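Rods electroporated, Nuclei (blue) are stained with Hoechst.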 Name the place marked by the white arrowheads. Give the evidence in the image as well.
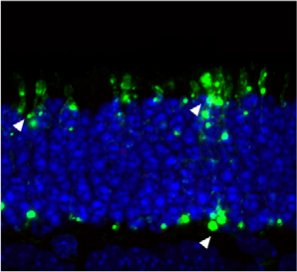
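One arrowhead points to green dots just above the band of blue nuclei, below the outer segment layer. One arrowhead points to green dots at the bottom edge of the nuclear band, where the terminals lie.
Answer: inner segment and synaptic terminal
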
